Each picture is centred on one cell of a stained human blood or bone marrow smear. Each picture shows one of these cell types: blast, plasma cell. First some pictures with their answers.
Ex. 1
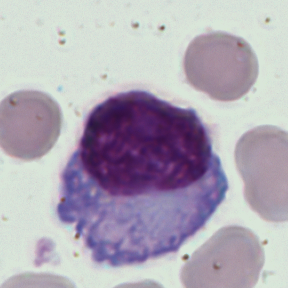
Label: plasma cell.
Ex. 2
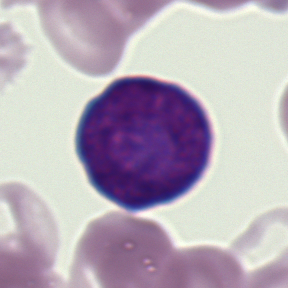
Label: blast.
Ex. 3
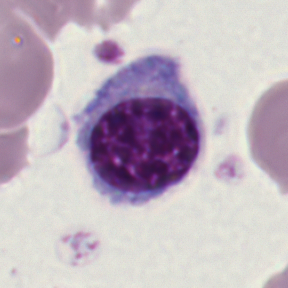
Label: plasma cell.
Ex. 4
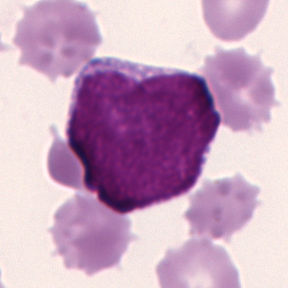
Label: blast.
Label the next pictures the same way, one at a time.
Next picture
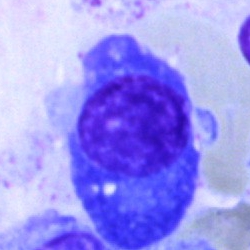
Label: plasma cell.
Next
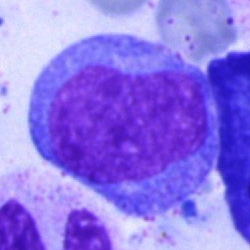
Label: blast.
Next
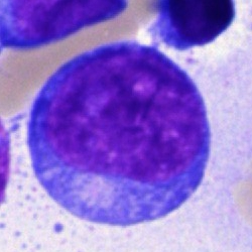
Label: blast.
